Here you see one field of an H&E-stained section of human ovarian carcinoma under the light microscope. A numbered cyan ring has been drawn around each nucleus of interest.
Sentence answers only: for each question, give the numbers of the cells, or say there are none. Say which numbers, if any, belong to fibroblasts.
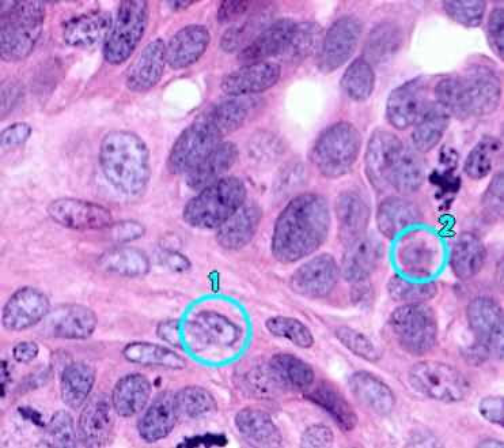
Within the set of numbered cells, only number 1 is a fibroblast.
